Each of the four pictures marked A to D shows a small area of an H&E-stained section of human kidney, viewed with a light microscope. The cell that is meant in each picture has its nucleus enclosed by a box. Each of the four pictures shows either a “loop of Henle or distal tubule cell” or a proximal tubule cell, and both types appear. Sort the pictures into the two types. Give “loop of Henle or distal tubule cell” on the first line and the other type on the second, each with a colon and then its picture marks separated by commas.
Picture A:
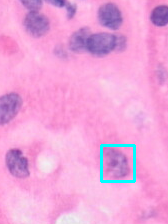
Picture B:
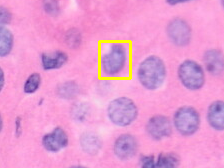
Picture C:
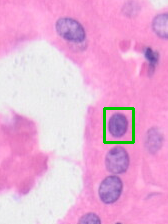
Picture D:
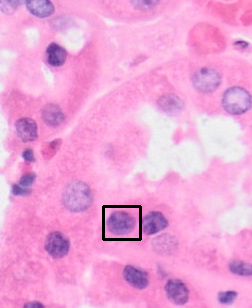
loop of Henle or distal tubule cell: B
proximal tubule cell: A, C, D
